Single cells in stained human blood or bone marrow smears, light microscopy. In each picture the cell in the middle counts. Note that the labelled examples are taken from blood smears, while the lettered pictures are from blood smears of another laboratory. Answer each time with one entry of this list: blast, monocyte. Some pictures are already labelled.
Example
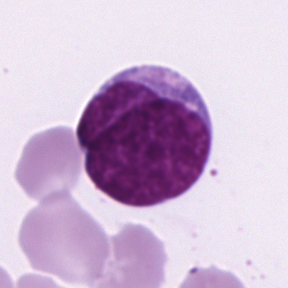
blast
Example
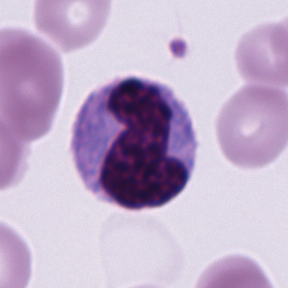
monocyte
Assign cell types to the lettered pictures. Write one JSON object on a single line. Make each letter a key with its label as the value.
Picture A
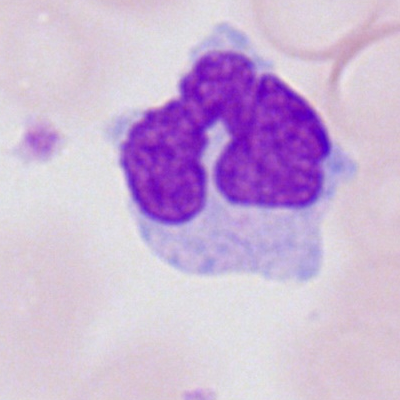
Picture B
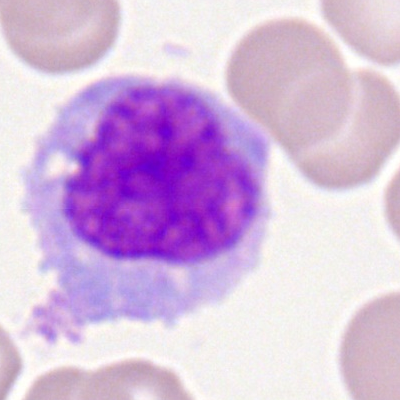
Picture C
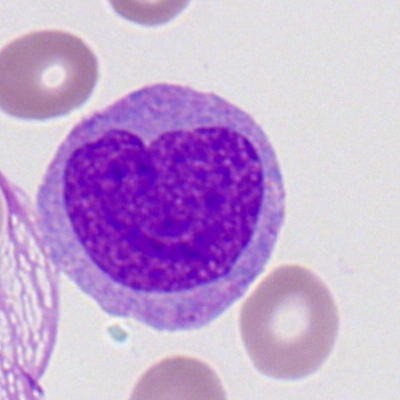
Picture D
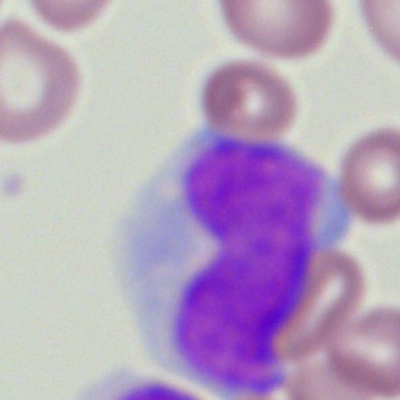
{"A": "monocyte", "B": "monocyte", "C": "blast", "D": "monocyte"}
